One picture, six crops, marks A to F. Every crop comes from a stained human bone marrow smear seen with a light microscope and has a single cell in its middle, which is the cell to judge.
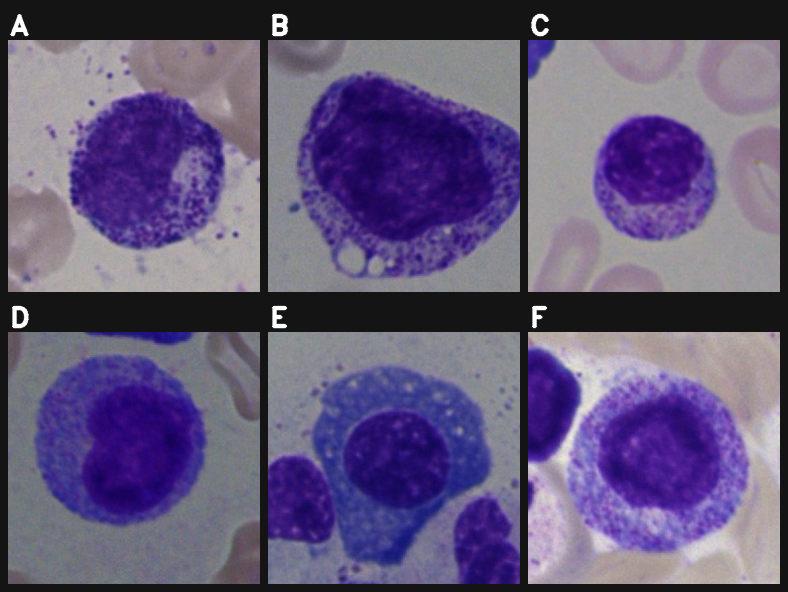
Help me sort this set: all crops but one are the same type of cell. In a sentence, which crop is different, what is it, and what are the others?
Crop E alone shows a plasma cell; the other crops are all myelocytes.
